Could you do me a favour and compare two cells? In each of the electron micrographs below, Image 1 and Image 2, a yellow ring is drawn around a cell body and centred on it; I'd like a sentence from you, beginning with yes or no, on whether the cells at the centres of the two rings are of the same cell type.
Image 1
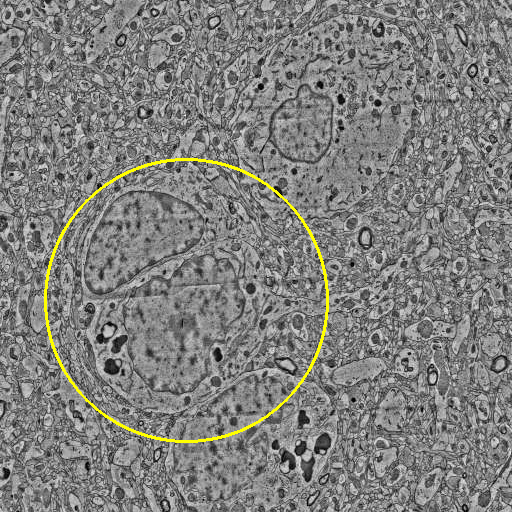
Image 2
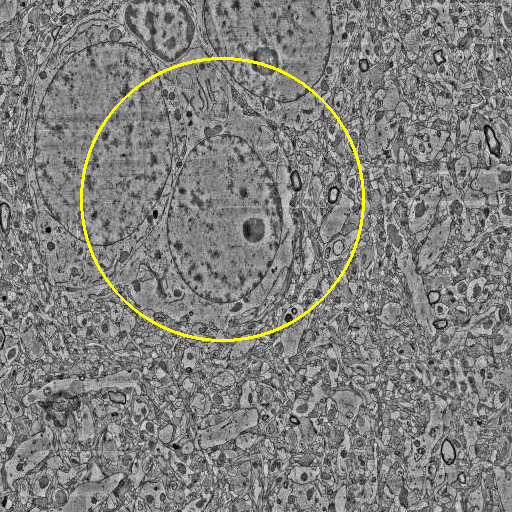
No, the two cells are of two cell types.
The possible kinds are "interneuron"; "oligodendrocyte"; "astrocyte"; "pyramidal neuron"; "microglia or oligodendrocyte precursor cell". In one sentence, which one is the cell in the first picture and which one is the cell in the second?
The cell ringed in the second picture is an astrocyte, whereas the one ringed in the first is an interneuron.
